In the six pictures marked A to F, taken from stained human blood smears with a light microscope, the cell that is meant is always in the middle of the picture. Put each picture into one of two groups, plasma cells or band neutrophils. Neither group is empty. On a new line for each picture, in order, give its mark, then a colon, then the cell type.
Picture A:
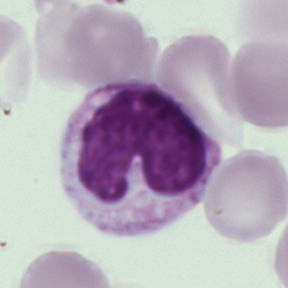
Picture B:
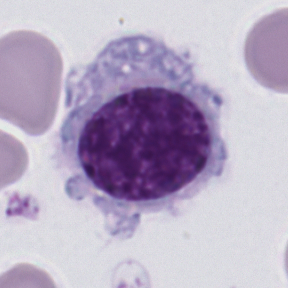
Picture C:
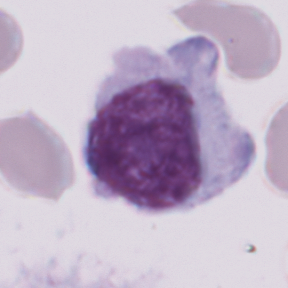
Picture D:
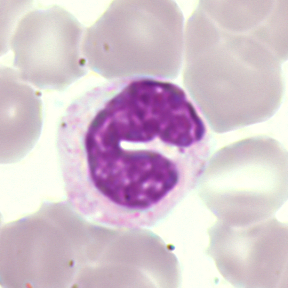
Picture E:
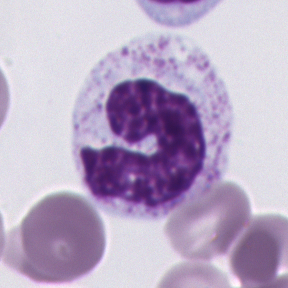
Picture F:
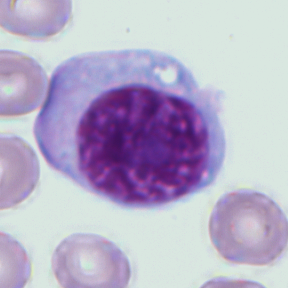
A: band neutrophil
B: plasma cell
C: plasma cell
D: band neutrophil
E: band neutrophil
F: plasma cell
